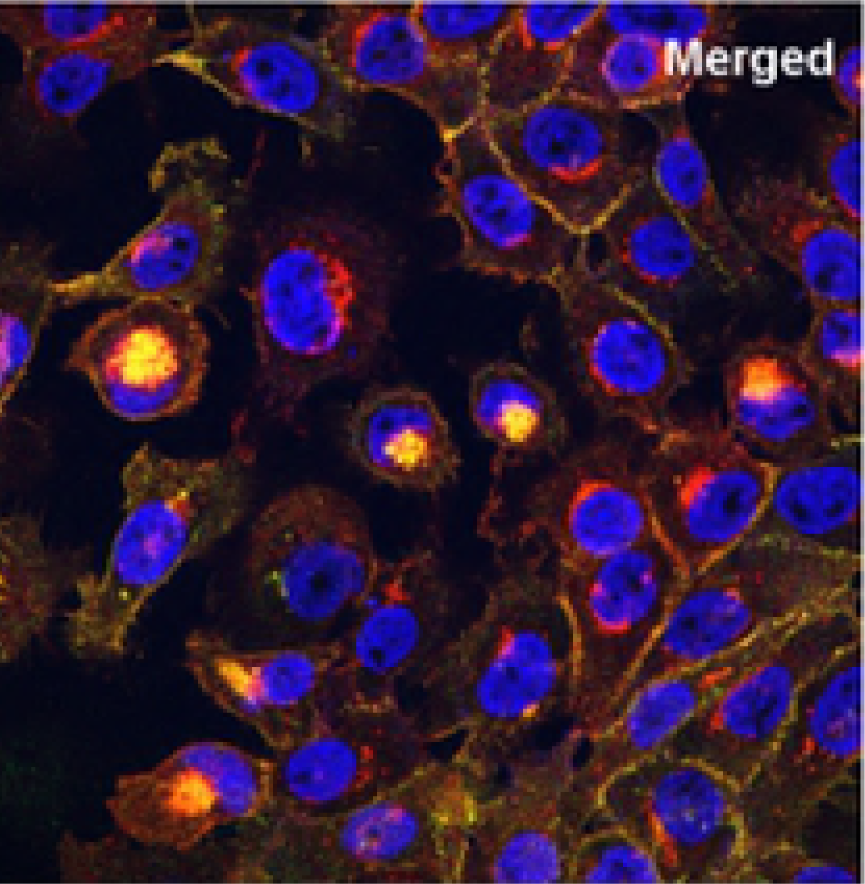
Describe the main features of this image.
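Cultured epithelial-like cells with one oval blue nucleus each, less tightly packed than a continuous sheet. Many cells are outlined by thin yellow-orange borders where red and green overlap. Several cells are rounded and carry a large, bright, compact yellow-orange clump in the cytoplasm beside the nucleus, which is pushed to one side or partly covered. Other cells show smaller red accumulations next to the nucleus and diffuse red in the cytoplasm. Some cells are spread with irregular outlines and short protrusions, and dark gaps lie between groups of cells.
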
